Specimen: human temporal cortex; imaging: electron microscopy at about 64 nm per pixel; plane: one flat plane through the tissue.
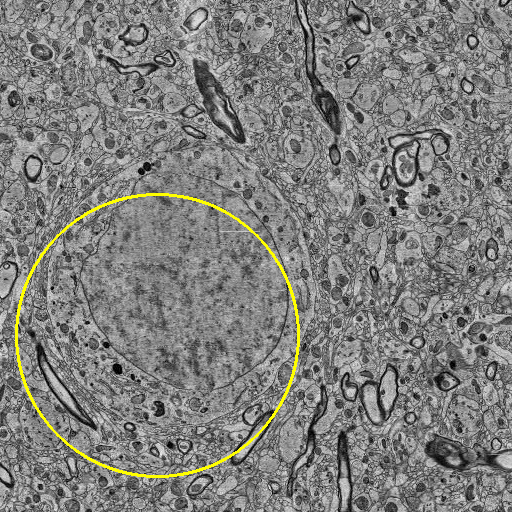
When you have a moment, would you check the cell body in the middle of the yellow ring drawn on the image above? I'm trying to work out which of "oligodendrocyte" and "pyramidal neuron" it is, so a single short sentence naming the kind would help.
This cell body belongs to a pyramidal neuron.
